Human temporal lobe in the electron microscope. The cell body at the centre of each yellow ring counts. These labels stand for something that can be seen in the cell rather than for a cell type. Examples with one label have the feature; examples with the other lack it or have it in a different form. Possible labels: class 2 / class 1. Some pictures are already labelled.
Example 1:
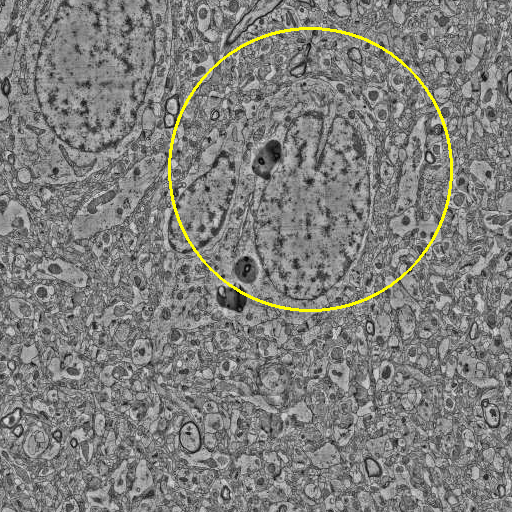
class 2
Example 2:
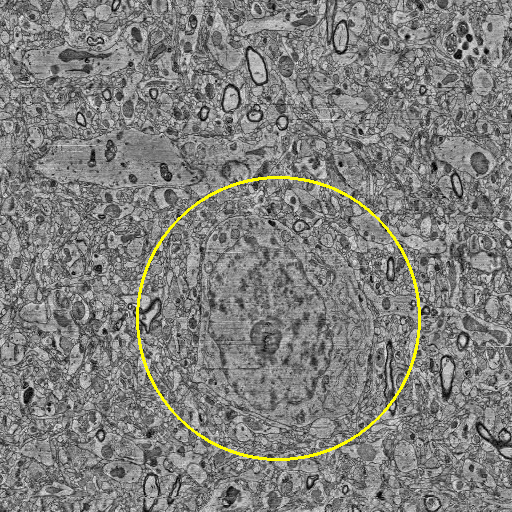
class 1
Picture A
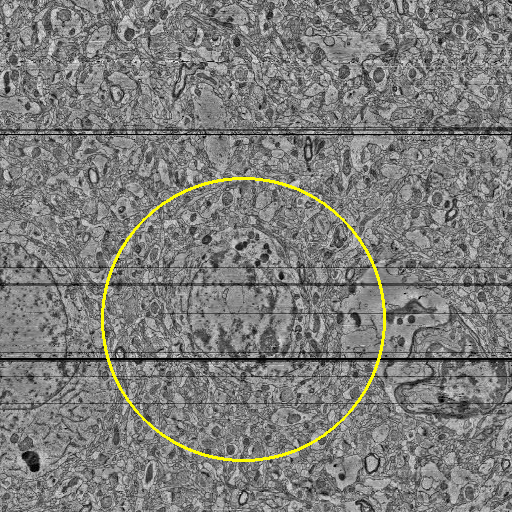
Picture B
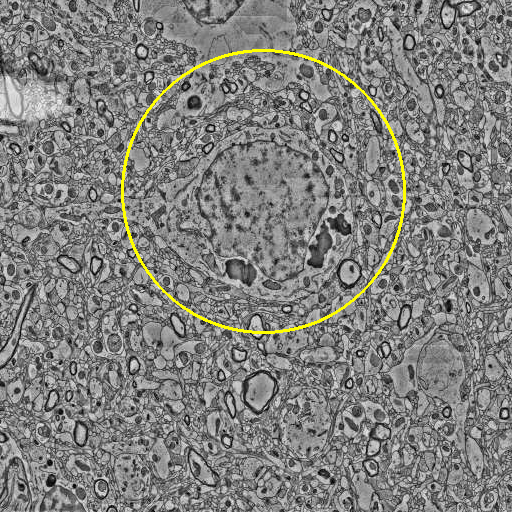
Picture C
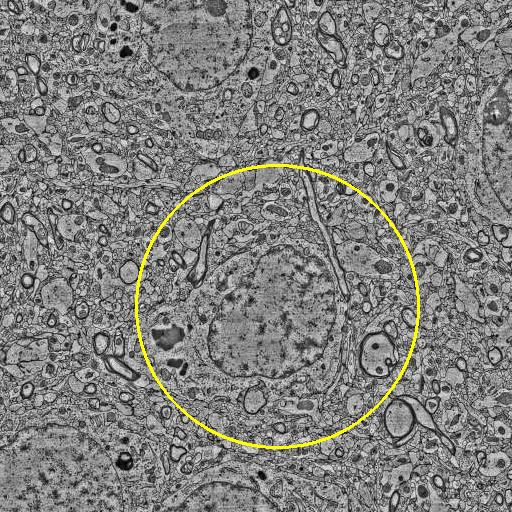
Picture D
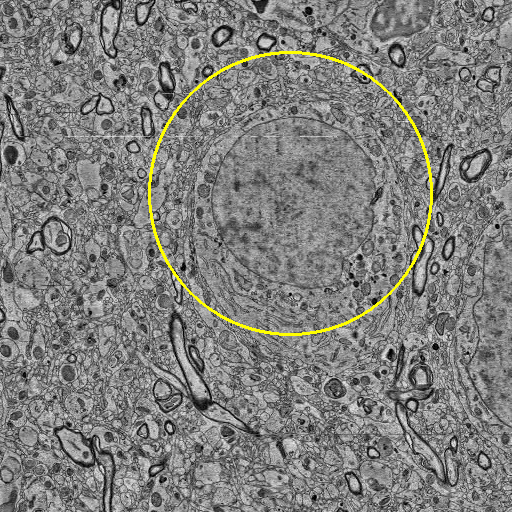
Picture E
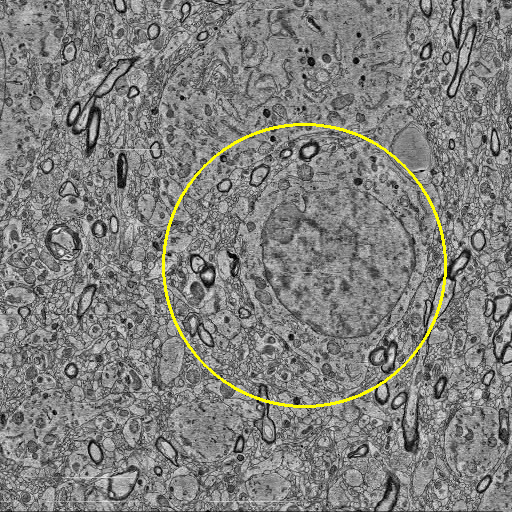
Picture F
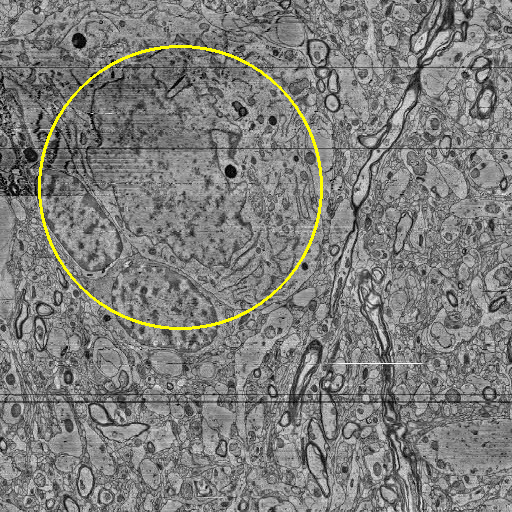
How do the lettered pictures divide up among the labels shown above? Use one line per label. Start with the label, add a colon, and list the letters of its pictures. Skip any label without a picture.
class 2: F
class 1: A, B, C, D, E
